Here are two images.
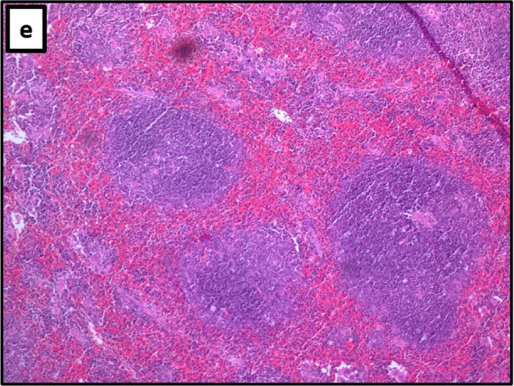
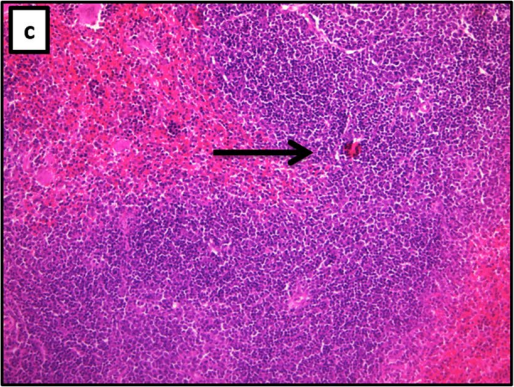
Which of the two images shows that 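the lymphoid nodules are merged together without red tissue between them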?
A: The second image.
